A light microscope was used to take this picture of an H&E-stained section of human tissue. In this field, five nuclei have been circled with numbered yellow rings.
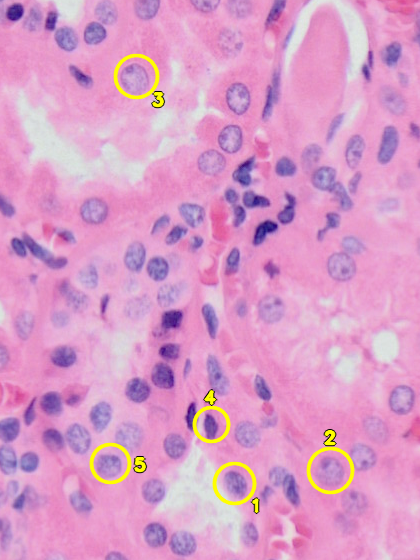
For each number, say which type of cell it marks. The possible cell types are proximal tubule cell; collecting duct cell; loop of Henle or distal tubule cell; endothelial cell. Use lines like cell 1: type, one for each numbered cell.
cell 1: loop of Henle or distal tubule cell
cell 2: proximal tubule cell
cell 3: proximal tubule cell
cell 4: loop of Henle or distal tubule cell
cell 5: collecting duct cell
